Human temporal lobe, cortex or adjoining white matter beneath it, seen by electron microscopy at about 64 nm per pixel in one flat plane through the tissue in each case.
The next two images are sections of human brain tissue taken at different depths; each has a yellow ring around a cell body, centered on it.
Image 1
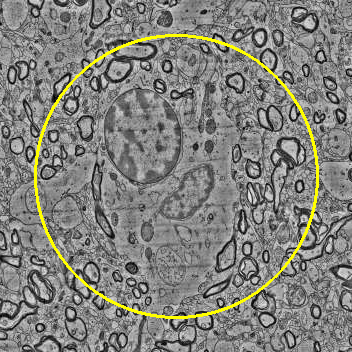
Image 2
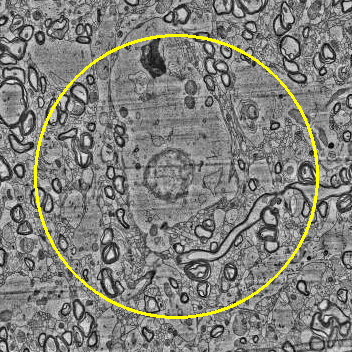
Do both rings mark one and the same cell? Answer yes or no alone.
no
